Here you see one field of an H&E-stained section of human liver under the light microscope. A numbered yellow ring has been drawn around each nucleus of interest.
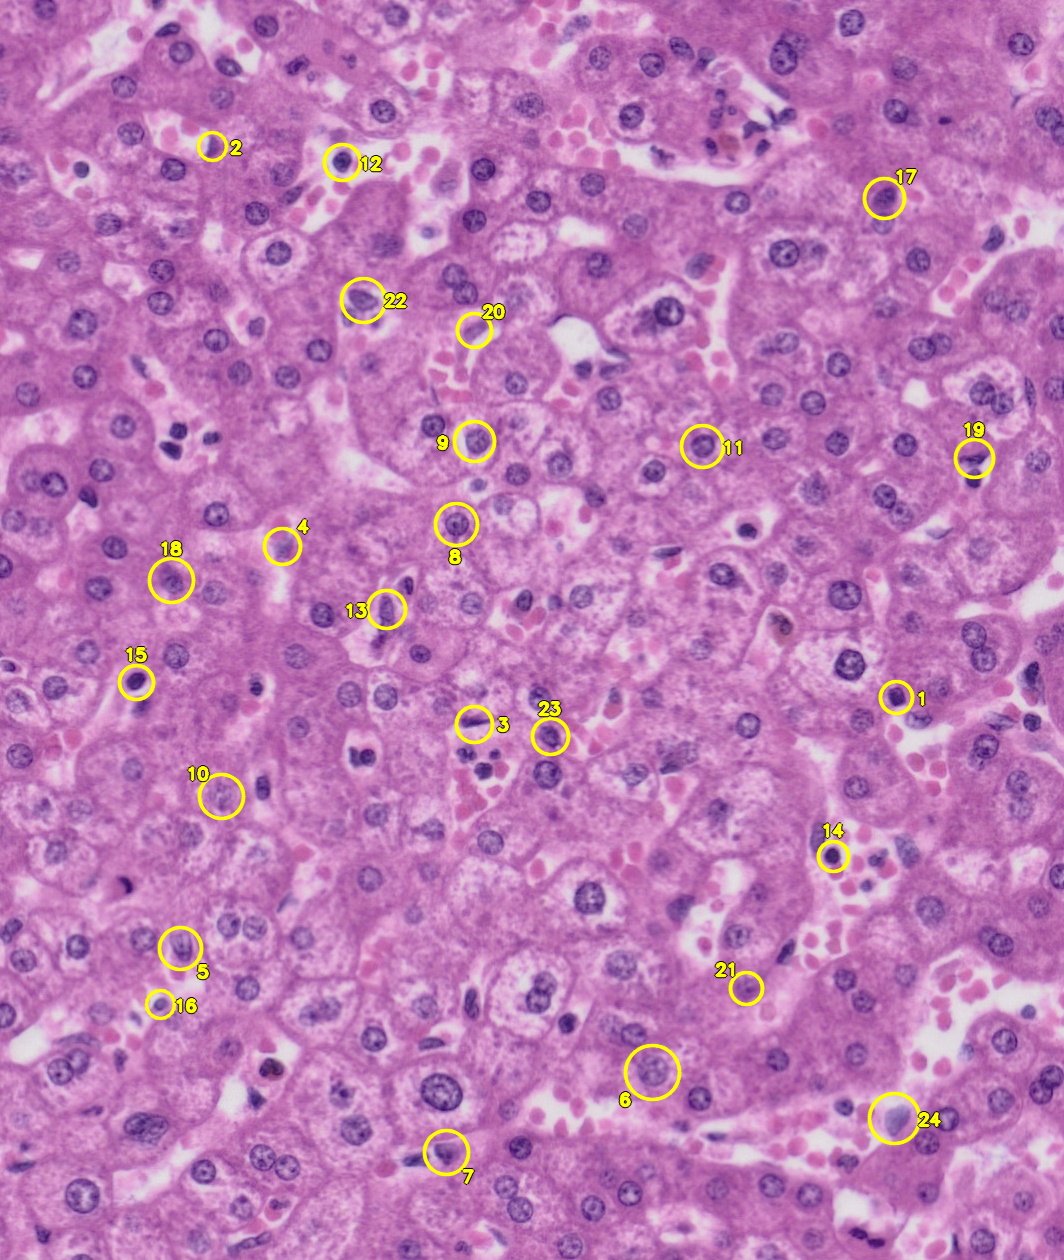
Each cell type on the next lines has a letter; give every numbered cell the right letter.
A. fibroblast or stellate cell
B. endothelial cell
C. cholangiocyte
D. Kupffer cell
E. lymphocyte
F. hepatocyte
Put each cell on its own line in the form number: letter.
1: A
2: B
3: B
4: B
5: D
6: F
7: B
8: F
9: F
10: F
11: F
12: E
13: D
14: E
15: E
16: E
17: A
18: B
19: B
20: D
21: F
22: D
23: A
24: B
